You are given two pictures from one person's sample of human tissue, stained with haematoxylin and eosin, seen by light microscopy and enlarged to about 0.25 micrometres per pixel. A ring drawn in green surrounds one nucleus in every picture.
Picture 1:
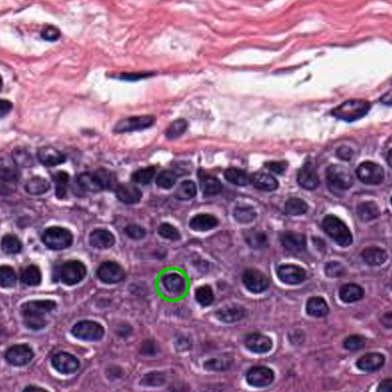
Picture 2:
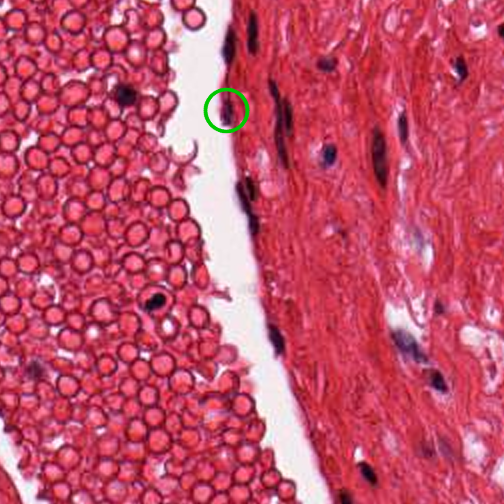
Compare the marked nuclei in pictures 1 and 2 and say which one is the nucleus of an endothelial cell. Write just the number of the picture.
2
